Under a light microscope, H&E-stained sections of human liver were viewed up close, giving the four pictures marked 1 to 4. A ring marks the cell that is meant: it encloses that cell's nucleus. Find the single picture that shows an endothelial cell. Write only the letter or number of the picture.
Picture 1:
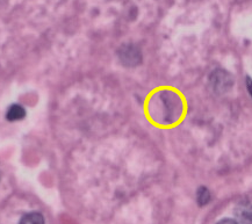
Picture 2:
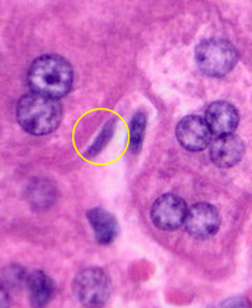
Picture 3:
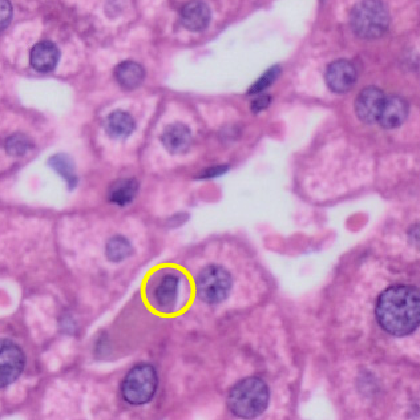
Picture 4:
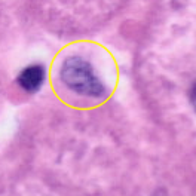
1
